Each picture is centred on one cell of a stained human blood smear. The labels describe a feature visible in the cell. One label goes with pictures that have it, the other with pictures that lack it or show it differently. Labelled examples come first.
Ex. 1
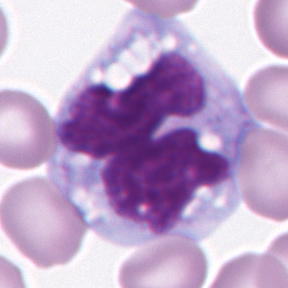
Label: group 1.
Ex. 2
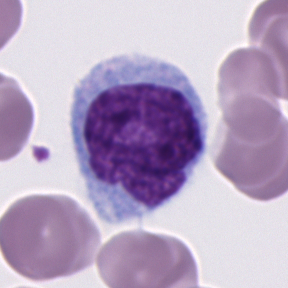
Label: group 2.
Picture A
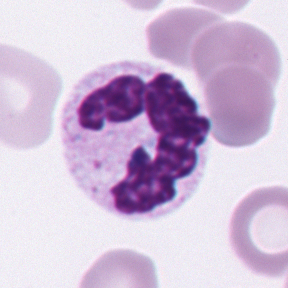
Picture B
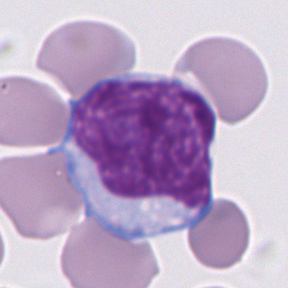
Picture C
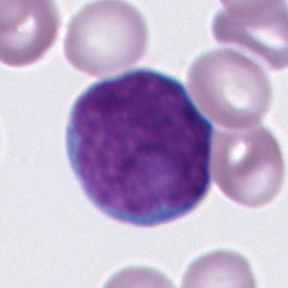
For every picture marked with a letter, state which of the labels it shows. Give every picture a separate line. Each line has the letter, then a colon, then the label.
A: group 2.
B: group 1.
C: group 2.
